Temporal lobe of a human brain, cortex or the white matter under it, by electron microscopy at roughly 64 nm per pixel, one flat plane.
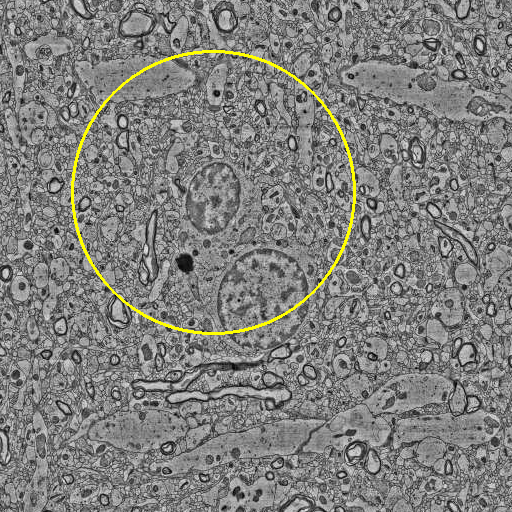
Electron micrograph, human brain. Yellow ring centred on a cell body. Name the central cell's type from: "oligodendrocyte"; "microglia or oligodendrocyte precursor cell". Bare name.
oligodendrocyte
